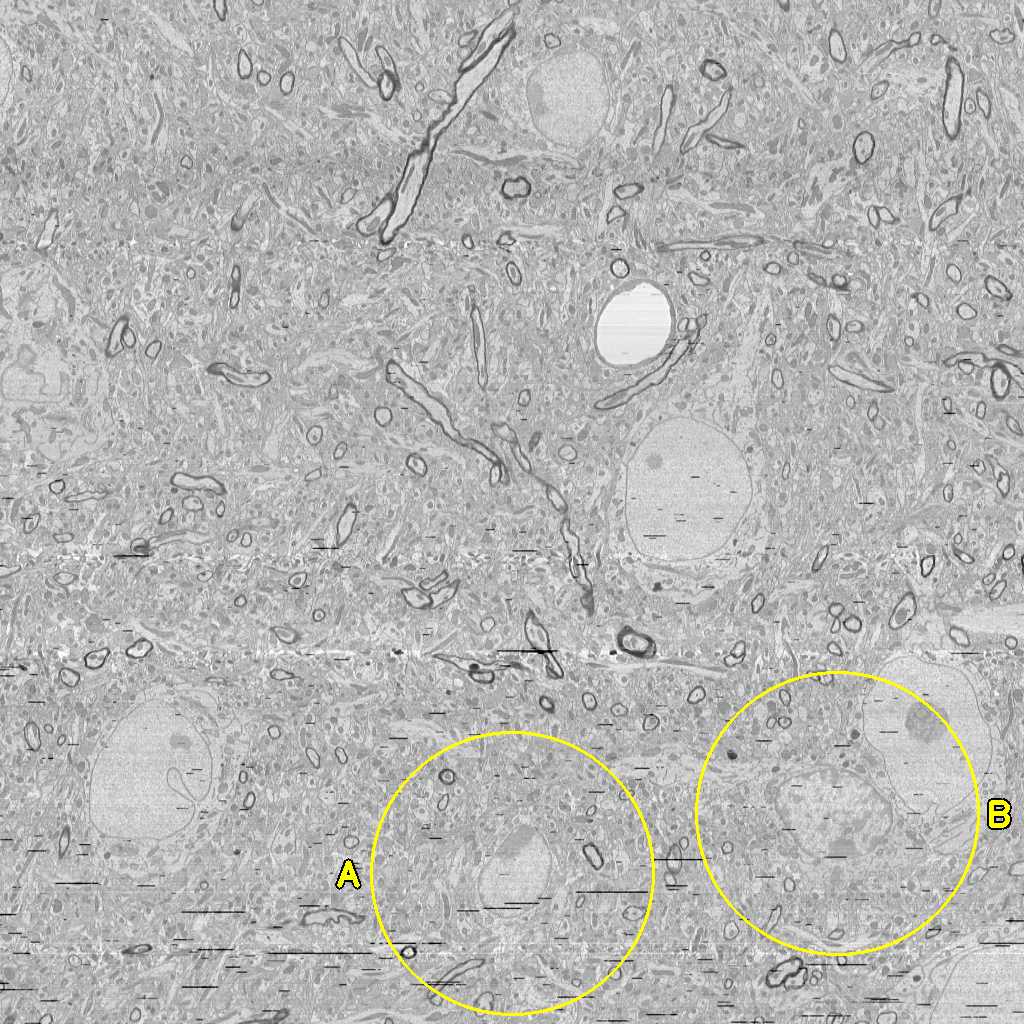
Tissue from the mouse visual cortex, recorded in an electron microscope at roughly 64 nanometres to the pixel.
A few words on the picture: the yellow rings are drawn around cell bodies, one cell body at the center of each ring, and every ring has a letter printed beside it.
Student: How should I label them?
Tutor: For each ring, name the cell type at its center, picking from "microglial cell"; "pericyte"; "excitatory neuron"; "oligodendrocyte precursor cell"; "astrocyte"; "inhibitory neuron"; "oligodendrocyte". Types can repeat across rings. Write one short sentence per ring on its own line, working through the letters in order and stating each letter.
In ring A, the central cell is an astrocyte.
In ring B, the central cell is an oligodendrocyte.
